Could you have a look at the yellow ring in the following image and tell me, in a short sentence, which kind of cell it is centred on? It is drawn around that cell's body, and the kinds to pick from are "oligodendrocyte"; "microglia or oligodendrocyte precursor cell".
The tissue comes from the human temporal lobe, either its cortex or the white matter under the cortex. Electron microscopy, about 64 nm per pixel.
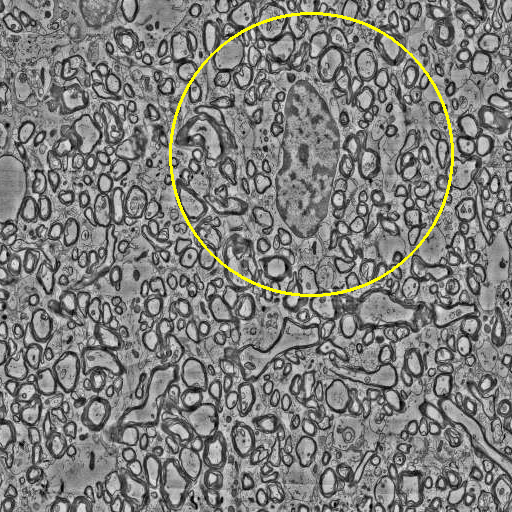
The ring is centred on the body of a microglial cell or oligodendrocyte precursor cell.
